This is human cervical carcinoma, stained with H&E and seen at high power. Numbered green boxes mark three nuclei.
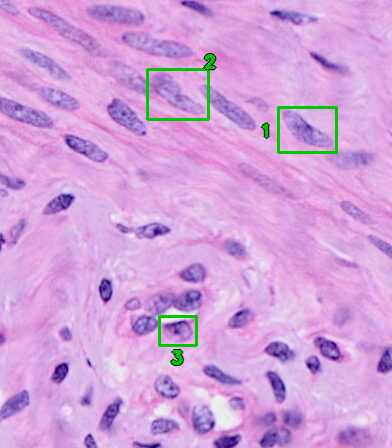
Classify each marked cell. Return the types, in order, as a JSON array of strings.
["fibroblast", "smooth muscle cell", "endothelial cell"]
